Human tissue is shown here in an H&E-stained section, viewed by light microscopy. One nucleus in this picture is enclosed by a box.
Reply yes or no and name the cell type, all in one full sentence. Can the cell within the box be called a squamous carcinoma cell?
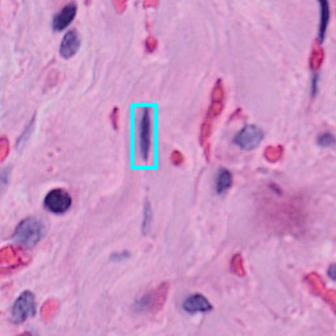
No, the cell within the box is not a squamous carcinoma cell, but is instead a fibroblast.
